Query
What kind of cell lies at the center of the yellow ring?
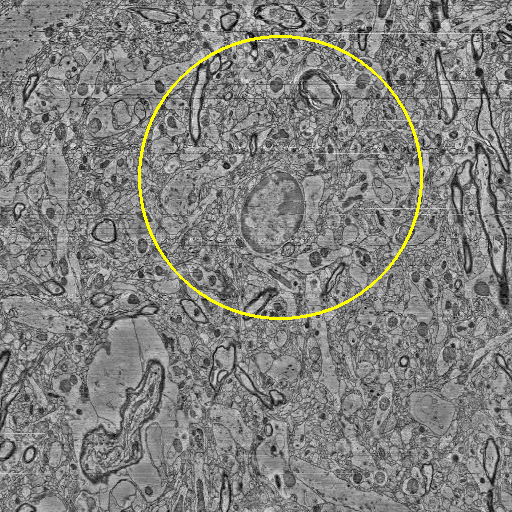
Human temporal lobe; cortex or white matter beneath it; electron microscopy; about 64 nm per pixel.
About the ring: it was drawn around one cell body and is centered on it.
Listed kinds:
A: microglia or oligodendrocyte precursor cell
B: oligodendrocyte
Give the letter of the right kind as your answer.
A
